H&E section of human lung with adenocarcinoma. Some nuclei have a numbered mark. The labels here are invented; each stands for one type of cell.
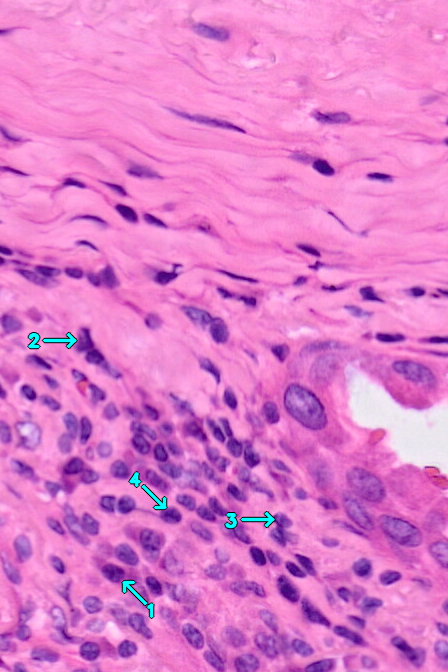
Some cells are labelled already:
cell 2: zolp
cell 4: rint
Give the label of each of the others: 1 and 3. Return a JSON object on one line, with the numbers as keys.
{"1": "zolp", "3": "rint"}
